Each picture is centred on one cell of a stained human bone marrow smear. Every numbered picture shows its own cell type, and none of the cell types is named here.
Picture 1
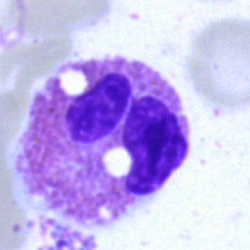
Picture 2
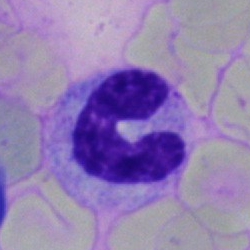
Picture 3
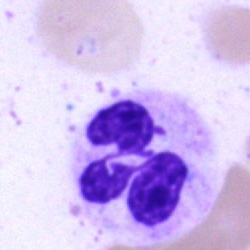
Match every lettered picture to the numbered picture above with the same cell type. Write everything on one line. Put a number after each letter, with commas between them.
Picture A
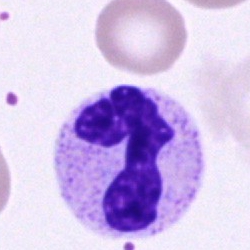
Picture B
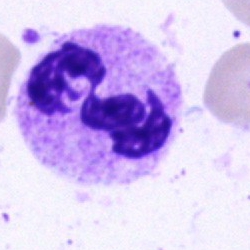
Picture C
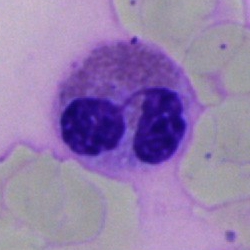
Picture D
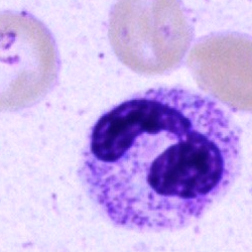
A 3, B 3, C 1, D 3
